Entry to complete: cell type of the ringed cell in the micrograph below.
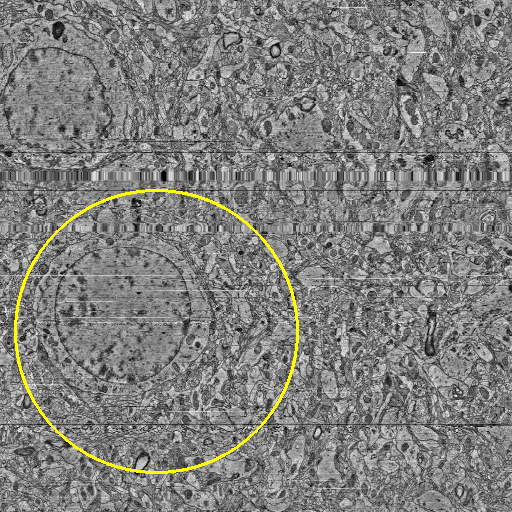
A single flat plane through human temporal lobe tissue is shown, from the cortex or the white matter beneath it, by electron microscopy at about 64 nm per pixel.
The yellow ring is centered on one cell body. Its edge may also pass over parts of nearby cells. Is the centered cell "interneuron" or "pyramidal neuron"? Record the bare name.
pyramidal neuron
